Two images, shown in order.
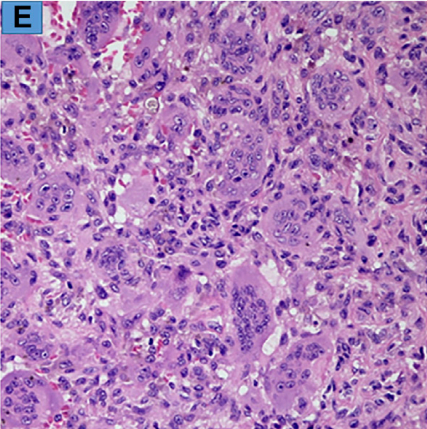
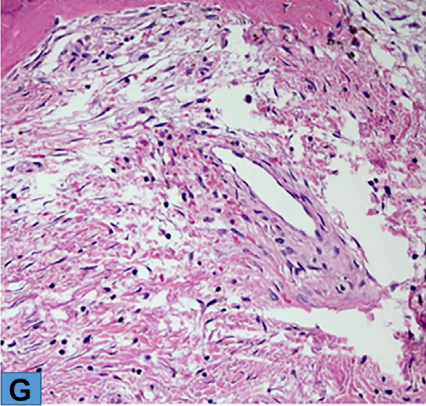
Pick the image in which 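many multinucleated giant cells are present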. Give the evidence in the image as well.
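Second image: loose fibrous tissue with scattered spindle cells and no multinucleated cells. First image: numerous large cells with pink cytoplasm and many nuclei each. So: the first image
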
